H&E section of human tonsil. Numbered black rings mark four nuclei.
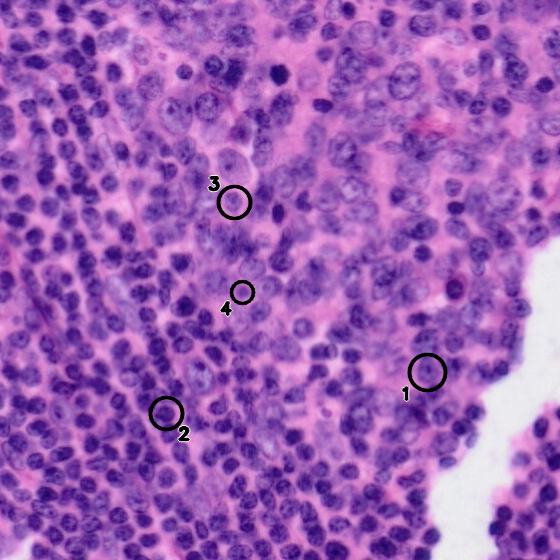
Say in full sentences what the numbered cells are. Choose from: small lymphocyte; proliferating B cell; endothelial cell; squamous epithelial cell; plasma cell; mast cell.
Cells 1, 3 and 4 are proliferating B cells. Cell 2 is a small lymphocyte.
